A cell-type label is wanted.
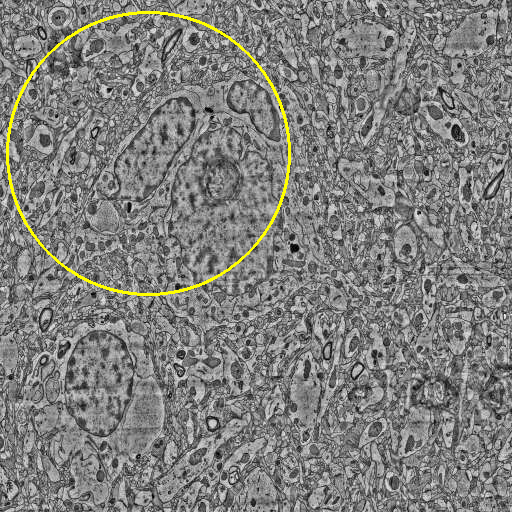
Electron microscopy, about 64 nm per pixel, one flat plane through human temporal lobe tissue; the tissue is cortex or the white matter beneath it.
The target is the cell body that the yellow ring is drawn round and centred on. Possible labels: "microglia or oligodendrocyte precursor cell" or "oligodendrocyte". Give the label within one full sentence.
Of the labels offered, the cell in the middle of the yellow ring is a microglial cell or oligodendrocyte precursor cell.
